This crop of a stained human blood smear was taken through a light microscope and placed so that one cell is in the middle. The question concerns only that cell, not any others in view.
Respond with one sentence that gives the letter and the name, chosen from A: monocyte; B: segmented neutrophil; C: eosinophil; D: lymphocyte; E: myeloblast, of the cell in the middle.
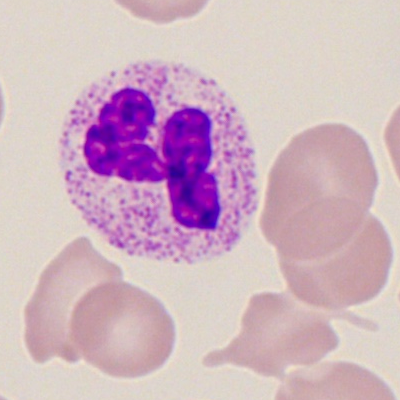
That middle cell is a segmented neutrophil, and option B is therefore correct.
